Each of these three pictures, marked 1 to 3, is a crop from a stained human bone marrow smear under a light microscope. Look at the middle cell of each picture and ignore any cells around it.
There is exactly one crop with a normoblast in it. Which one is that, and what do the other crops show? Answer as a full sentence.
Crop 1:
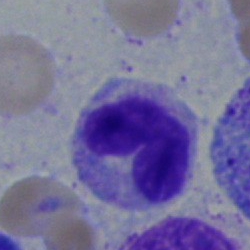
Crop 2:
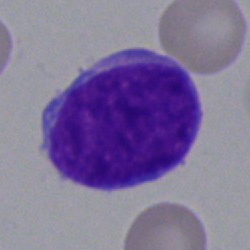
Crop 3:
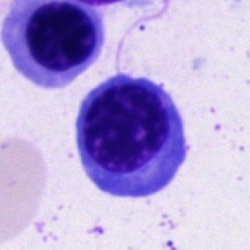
Crop 3 is a normoblast and, for the others, crop 1 is a band neutrophil and crop 2 is a blast.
